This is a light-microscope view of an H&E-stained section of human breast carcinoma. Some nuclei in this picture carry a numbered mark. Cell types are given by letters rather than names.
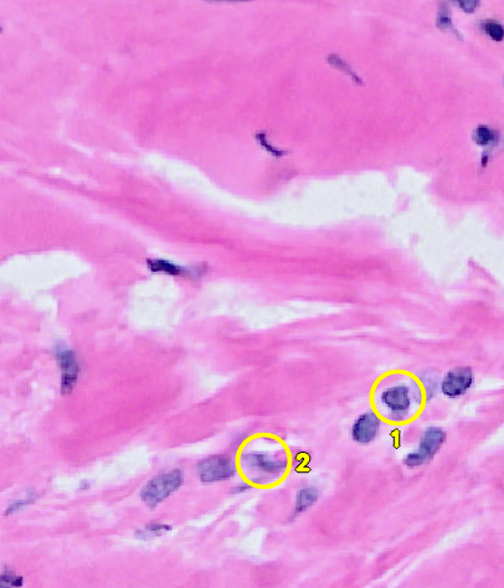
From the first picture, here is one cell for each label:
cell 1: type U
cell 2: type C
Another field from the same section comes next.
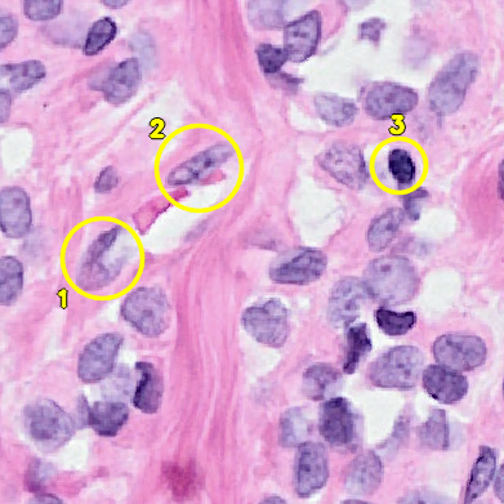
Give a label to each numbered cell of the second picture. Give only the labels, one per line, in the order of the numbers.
type C
type C
type U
